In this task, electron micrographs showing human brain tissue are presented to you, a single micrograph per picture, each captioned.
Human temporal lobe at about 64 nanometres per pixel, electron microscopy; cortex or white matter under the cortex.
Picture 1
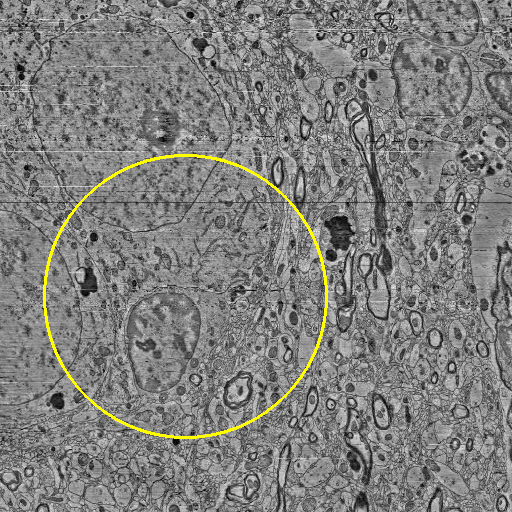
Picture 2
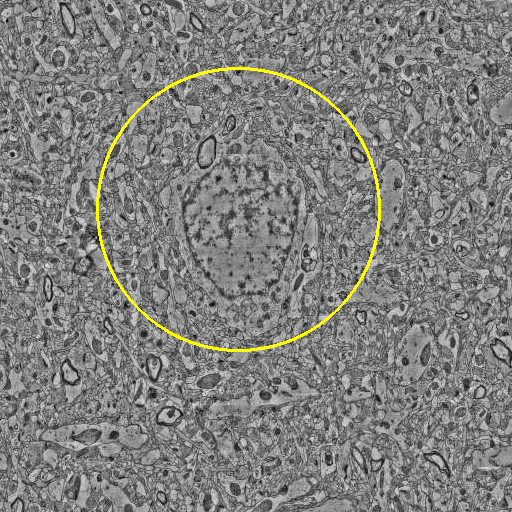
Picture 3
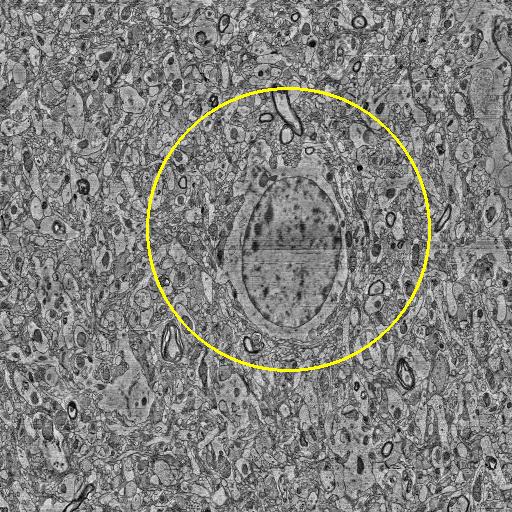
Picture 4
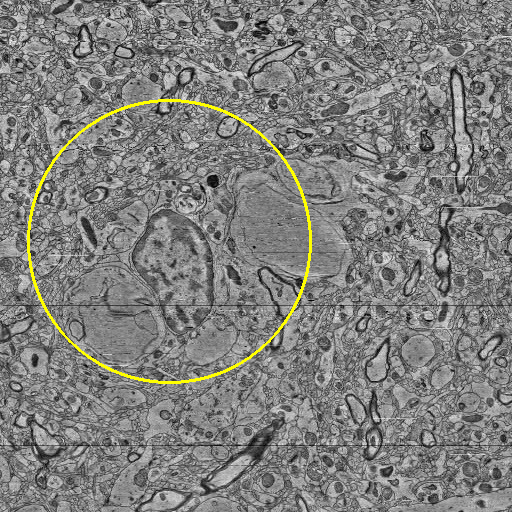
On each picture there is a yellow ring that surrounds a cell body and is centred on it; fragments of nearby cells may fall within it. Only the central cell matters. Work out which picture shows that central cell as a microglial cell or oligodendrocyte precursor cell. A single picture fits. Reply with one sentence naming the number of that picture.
Of all the pictures, number 4 has the right cell in the centre of its ring.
